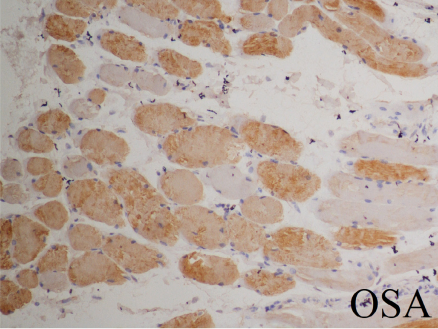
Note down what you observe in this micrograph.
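The fibers are rounded or irregular and vary in size, and their cytoplasm looks mottled in places. They lie loosely, separated by wider pale spaces of connective tissue. Many small, dark bluish, often elongated nuclei are scattered in these spaces. The arrangement looks less orderly than in tightly packed, evenly stained muscle.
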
